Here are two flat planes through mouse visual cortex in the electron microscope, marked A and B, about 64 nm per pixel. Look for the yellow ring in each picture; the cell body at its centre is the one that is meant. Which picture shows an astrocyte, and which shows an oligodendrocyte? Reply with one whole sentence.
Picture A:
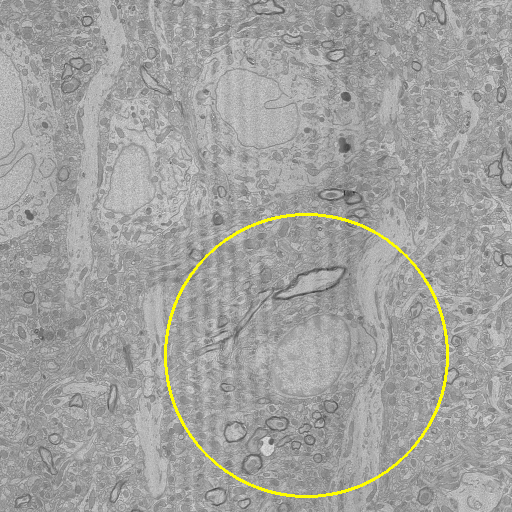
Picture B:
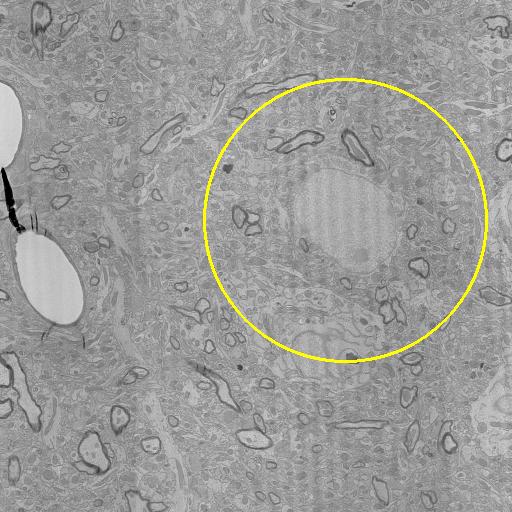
The cell in picture A is an oligodendrocyte, and the one in picture B is an astrocyte.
